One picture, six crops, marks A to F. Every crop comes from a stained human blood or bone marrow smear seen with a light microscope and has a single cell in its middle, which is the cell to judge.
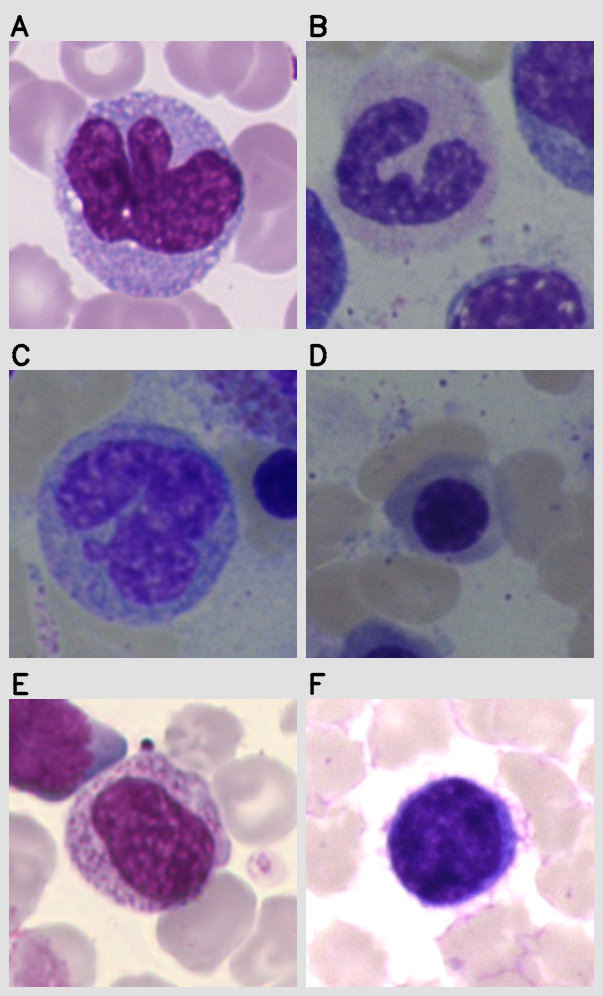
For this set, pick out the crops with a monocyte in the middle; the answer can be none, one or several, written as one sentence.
The target cells in crops A and C are monocytes.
